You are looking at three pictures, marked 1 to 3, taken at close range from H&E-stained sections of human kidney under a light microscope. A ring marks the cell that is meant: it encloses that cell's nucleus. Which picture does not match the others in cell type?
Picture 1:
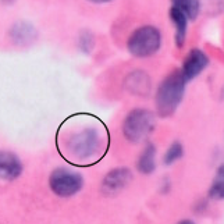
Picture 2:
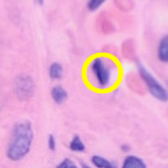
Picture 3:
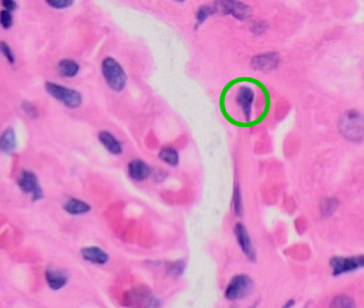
1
